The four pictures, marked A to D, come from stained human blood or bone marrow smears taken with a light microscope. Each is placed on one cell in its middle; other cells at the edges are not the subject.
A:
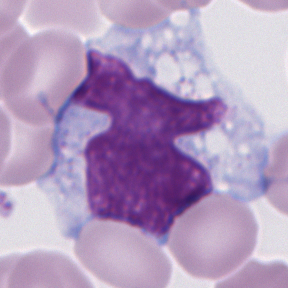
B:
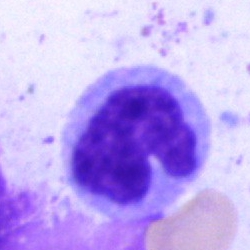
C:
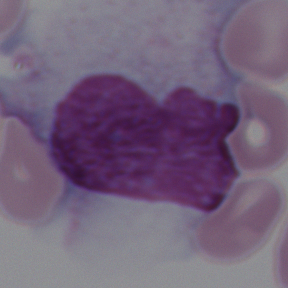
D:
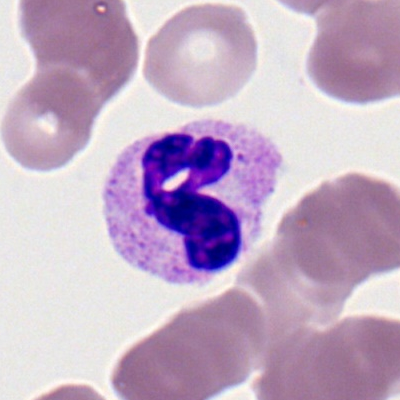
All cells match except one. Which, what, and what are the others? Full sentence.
For this set, crop D is a neutrophil, and all the rest are monocytes.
